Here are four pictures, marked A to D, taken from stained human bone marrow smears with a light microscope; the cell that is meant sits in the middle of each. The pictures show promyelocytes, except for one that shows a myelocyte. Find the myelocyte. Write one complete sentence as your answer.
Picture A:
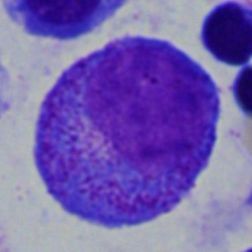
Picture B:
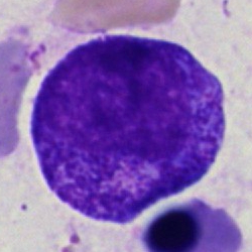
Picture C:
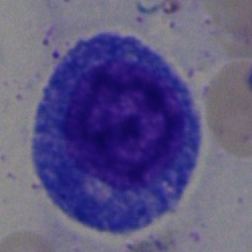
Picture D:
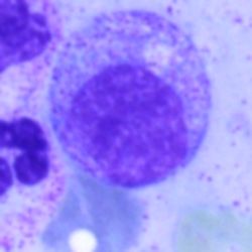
The myelocyte is the one in picture D.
